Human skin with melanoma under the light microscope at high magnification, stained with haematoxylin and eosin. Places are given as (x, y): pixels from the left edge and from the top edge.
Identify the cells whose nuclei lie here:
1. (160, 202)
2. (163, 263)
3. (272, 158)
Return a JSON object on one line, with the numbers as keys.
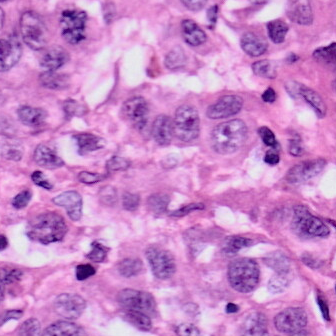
{"1": "melanoma cell", "2": "melanoma cell", "3": "lymphocyte"}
